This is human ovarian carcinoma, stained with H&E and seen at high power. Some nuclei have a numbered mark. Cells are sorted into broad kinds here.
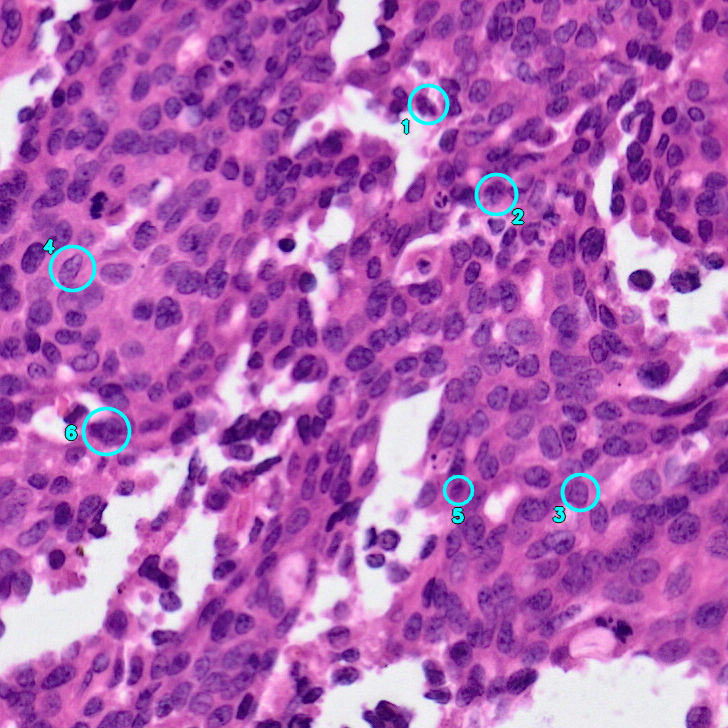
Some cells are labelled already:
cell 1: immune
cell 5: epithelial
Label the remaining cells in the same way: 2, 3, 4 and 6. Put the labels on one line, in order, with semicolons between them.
epithelial; epithelial; immune; epithelial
